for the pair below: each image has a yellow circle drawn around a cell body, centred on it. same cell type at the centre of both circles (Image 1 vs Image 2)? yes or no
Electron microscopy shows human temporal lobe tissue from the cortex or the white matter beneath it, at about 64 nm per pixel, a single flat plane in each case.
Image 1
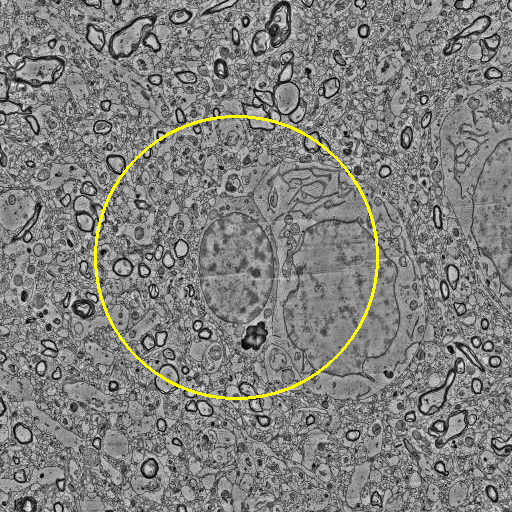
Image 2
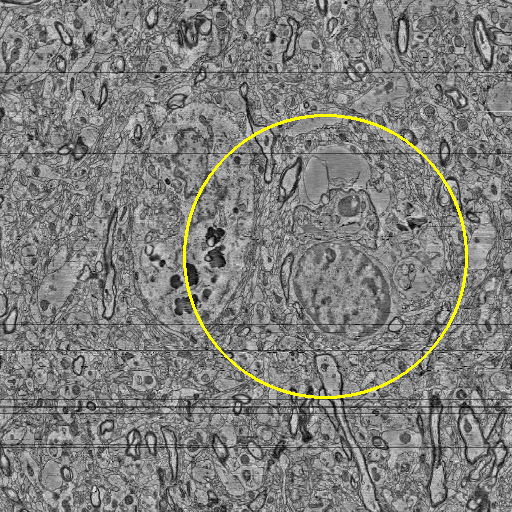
yes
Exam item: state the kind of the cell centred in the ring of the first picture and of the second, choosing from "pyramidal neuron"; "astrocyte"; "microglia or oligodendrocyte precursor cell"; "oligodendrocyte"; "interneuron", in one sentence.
Both the first and the second picture show an oligodendrocyte in the ring.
